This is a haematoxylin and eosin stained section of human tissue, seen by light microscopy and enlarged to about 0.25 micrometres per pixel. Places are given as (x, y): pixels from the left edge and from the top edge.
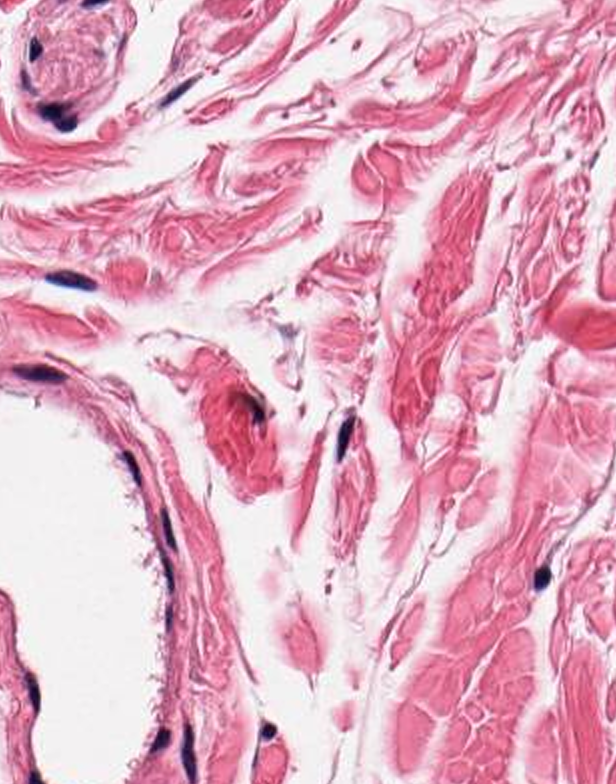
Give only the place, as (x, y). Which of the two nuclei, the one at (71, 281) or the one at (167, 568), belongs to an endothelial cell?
(167, 568)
